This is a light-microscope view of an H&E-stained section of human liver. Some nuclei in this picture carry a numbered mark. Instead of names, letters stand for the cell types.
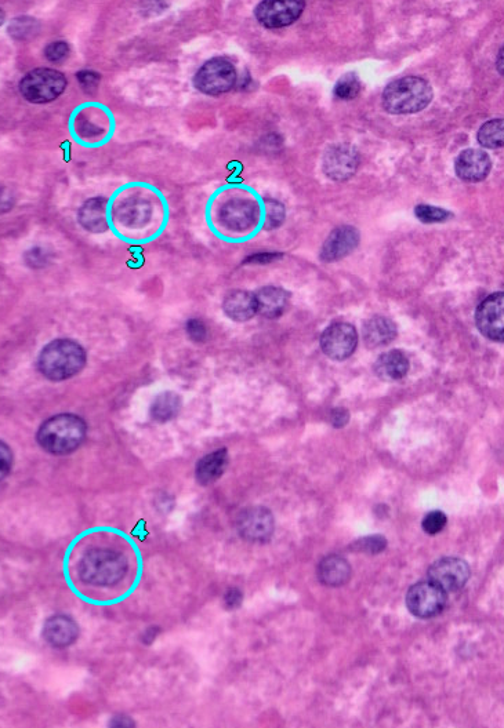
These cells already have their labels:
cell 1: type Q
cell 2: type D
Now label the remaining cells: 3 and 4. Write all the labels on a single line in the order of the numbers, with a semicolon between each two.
type D; type D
